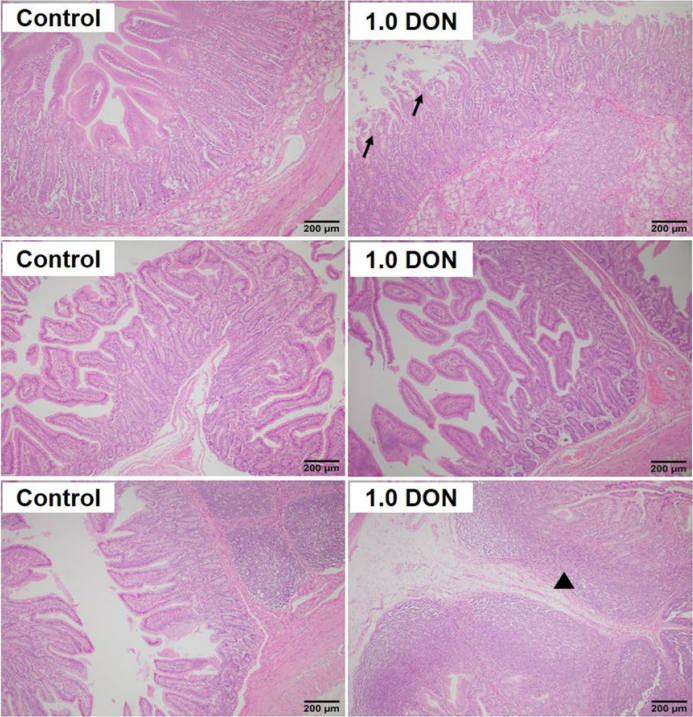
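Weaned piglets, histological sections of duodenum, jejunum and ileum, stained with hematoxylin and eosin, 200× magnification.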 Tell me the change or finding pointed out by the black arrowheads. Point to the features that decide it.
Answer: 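The arrowheads sit in broad, densely purple-stained masses of small round cells. The answer: lymphocyte hyperplasia.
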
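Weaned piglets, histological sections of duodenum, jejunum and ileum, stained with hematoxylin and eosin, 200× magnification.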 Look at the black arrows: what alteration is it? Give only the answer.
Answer: Degeneration, necrosis and desquamation of villous epithelial cells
